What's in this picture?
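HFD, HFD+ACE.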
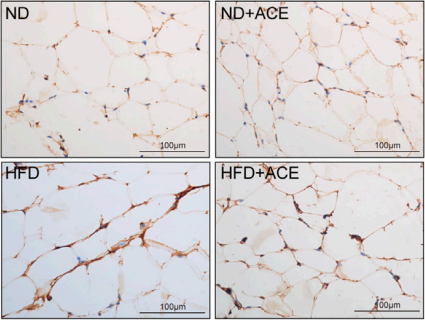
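Four fields of white adipose tissue show large, empty-looking, polygonal adipocytes, each bounded by a thin rim of cytoplasm with only occasional flattened nuclei. Brown stain lines the thin cell borders, and small dark-blue nuclei sit in the narrow spaces between adipocytes. In one field the adipocytes are clearly larger, and the brown stain there is heavier and thicker along the septa between cells.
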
